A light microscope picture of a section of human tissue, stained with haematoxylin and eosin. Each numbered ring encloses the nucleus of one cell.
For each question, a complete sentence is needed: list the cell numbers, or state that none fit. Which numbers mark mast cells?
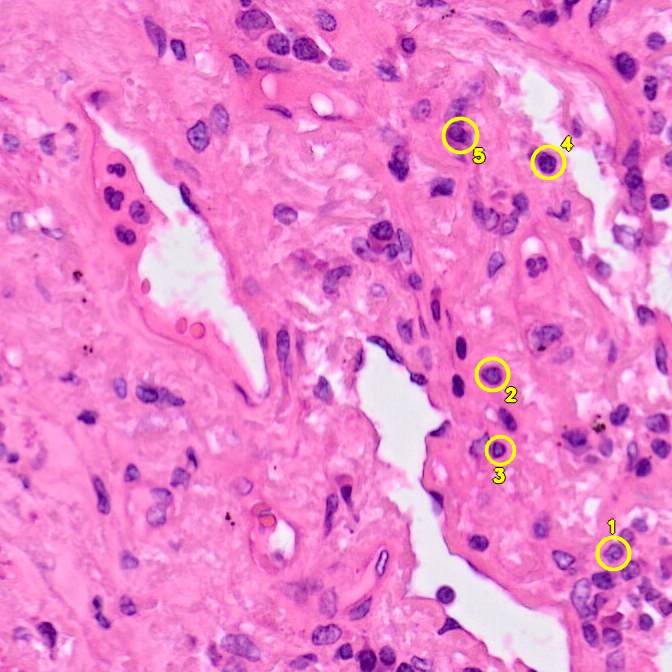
Regarding the numbered cells 2 and 3, these are mast cells.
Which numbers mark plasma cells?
Being a plasma cell is true of cell 5 and of no other numbered cell.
